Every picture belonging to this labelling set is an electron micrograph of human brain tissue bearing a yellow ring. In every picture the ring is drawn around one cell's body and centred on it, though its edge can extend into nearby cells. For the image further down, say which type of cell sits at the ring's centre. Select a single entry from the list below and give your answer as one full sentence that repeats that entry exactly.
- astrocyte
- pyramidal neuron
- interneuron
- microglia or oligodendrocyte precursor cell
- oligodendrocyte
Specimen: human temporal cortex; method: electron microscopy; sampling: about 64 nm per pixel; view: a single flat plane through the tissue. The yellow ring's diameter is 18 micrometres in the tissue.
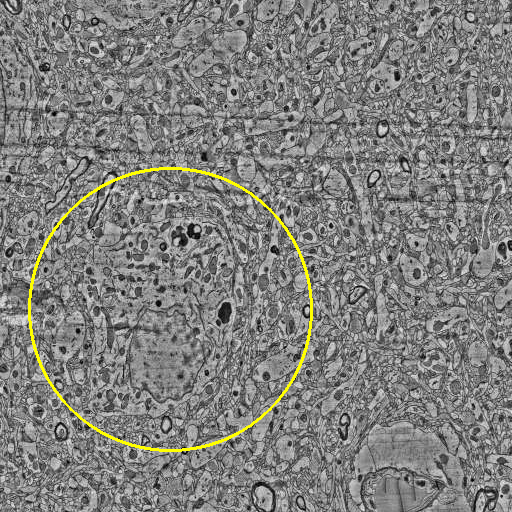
In the picture, an interneuron is the cell at the centre of the yellow ring.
